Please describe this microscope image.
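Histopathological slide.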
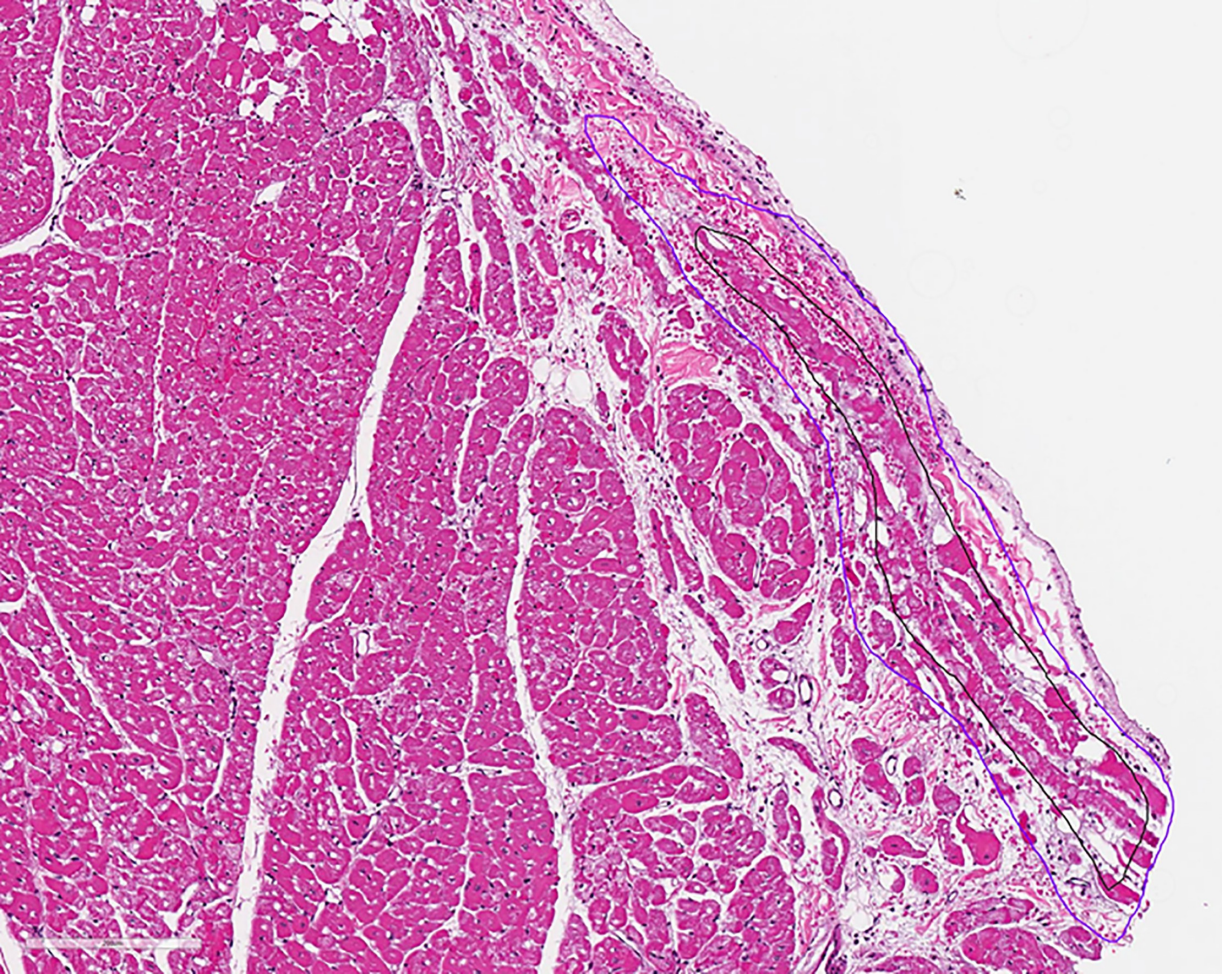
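This is heart muscle stained pink and purple, cut near its inner surface, with the outer edge of the section at upper right. Most of the field is packed muscle fibers cut across and lengthwise, with small dark nuclei and thin pale gaps between bundles. Toward the surface the tissue loosens into pale connective tissue with small vessels and a few fat cells. Just under the thin surface lining, a band of longer, more separated fibers runs parallel to the edge. Some of these fibers look pale, broken up or pulled apart. Loose pink-red material fills the strip between this band and the surface.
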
